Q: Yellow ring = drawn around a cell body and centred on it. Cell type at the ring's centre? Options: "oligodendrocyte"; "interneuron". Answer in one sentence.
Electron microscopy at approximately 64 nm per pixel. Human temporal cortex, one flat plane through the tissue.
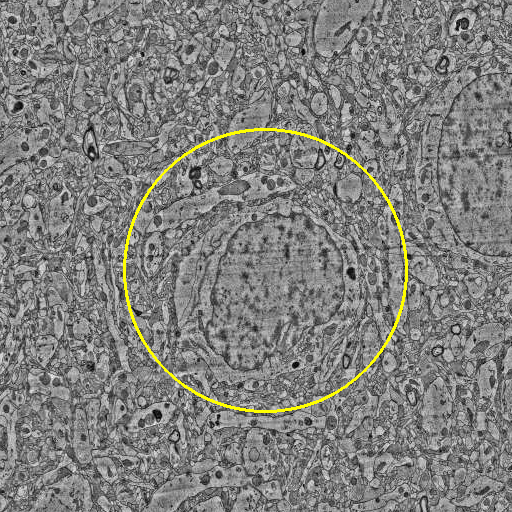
Centred in the ring is an interneuron.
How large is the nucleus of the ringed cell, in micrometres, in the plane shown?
In this plane, roughly 11 by 8 micrometres.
